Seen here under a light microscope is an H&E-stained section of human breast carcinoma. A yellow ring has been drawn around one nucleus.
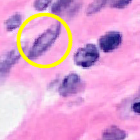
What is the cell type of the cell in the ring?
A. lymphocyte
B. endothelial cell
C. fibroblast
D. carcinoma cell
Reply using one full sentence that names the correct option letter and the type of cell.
The proper choice here is B: the cell in the ring is an endothelial cell.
